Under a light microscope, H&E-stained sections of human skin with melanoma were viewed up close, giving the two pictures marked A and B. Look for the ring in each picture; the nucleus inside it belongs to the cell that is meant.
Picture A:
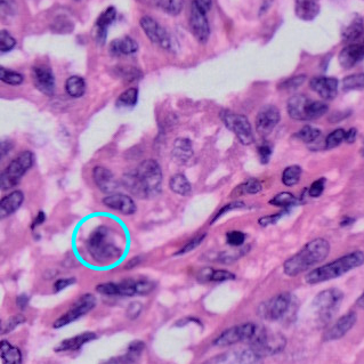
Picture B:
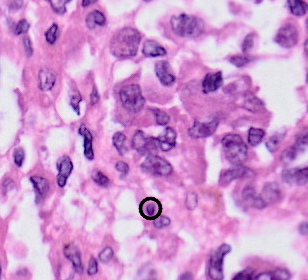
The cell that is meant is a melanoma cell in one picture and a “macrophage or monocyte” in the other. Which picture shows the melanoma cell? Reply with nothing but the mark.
A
